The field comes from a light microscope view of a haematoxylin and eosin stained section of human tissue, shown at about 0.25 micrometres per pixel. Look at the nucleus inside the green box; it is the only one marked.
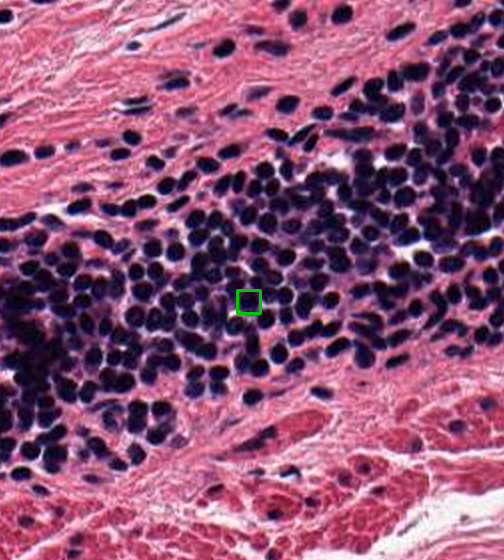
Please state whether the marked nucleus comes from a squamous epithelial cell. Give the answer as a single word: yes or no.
no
